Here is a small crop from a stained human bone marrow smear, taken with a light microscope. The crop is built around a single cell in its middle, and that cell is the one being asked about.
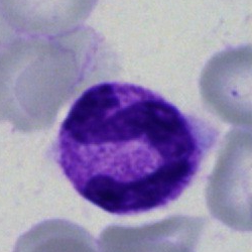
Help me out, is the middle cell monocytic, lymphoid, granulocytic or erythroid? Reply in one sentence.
The central cell in this crop is categorized under the granulocytic lineage.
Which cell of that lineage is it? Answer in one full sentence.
The cell in the middle of the field of view is a segmented neutrophil.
